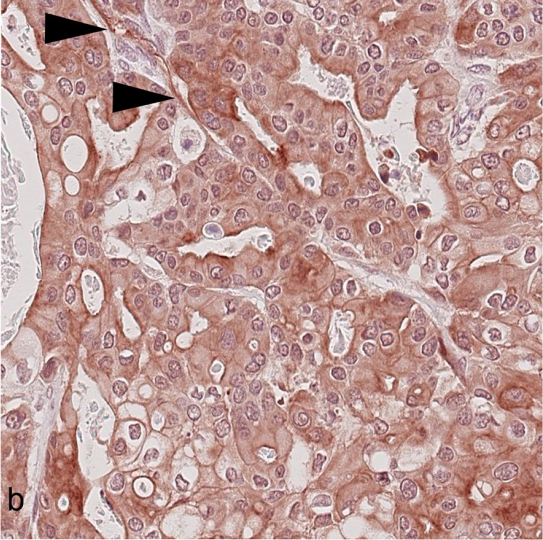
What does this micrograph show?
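The tumor cells are large and polygonal, with round to oval, vesicular nuclei, many with visible nucleoli. Small clear spaces and irregular lumina lie between the cells. Thin, elongated stained structures run along the narrow stromal strands between the tumor cell groups.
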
